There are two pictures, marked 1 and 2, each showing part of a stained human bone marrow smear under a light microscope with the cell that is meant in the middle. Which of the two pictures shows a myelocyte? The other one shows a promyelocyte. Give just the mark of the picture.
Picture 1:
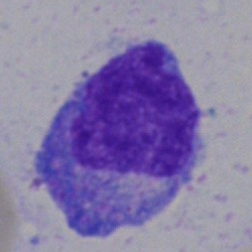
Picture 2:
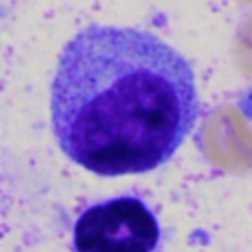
2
